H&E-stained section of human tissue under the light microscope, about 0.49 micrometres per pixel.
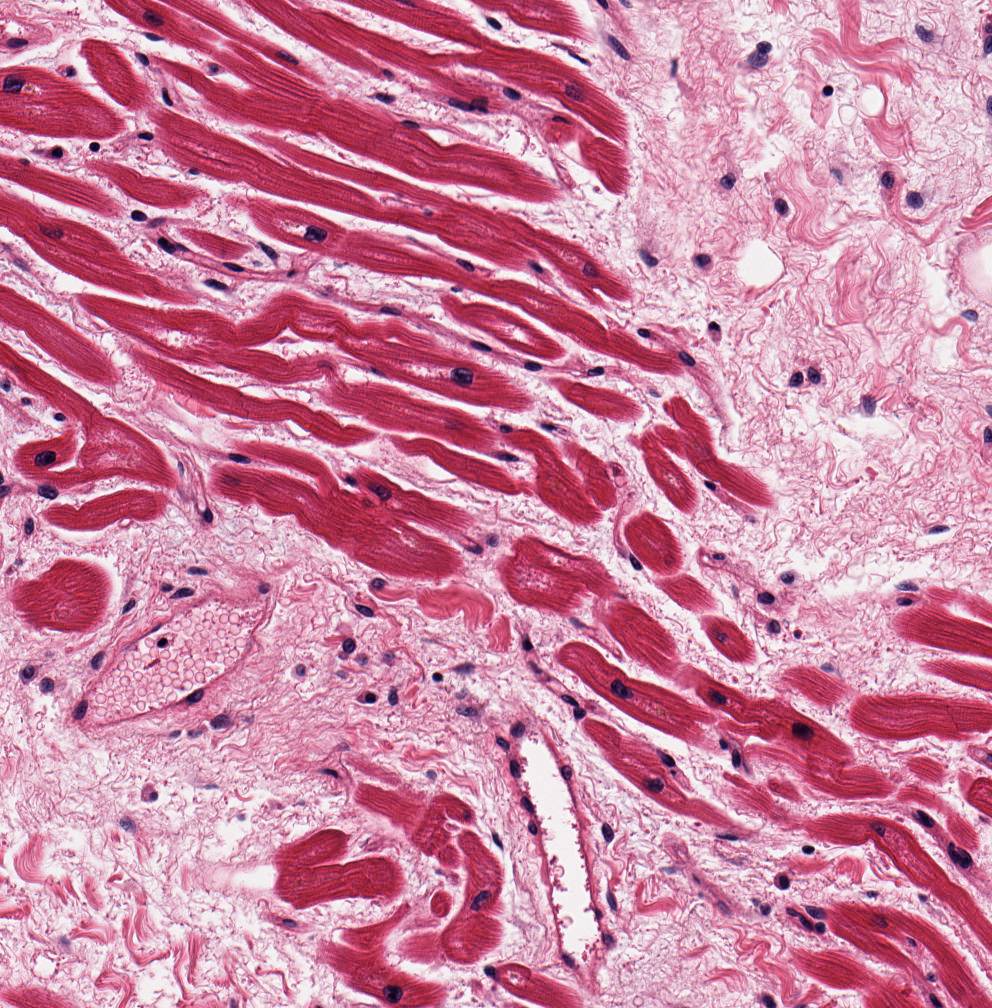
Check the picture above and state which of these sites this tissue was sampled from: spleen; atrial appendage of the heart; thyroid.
atrial appendage of the heart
